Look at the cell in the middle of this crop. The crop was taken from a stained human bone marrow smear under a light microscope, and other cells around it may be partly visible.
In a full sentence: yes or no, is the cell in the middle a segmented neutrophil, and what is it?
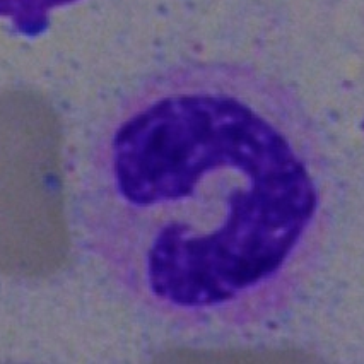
Yes, centred in the crop is a segmented neutrophil.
